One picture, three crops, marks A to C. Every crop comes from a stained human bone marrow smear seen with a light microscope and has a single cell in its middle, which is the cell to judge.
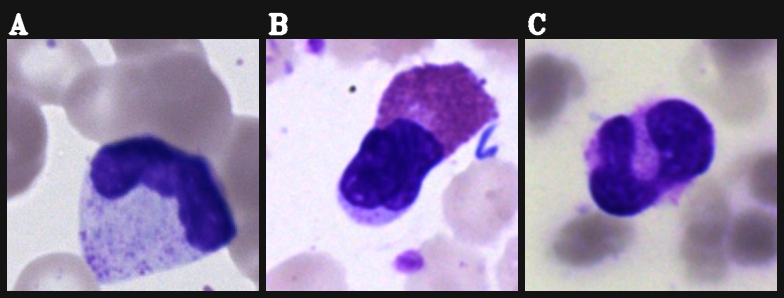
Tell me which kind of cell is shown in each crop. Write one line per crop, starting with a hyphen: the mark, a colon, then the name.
- A: band neutrophil
- B: eosinophil
- C: segmented neutrophil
